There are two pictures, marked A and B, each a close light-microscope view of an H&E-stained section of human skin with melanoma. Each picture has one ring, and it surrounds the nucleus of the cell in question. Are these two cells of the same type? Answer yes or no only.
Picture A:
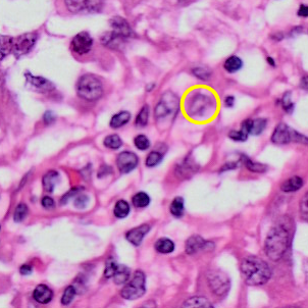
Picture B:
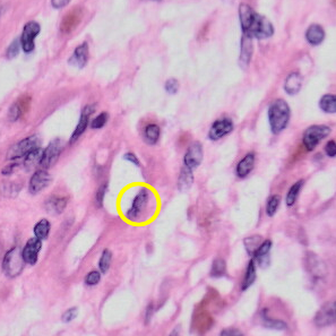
yes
